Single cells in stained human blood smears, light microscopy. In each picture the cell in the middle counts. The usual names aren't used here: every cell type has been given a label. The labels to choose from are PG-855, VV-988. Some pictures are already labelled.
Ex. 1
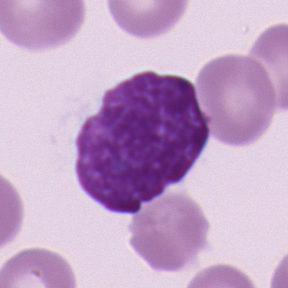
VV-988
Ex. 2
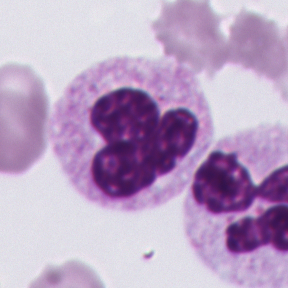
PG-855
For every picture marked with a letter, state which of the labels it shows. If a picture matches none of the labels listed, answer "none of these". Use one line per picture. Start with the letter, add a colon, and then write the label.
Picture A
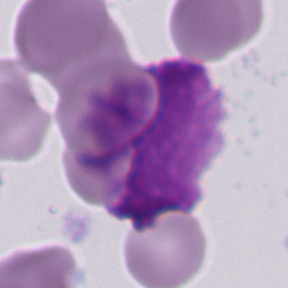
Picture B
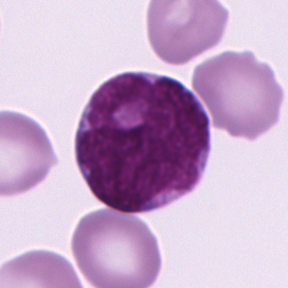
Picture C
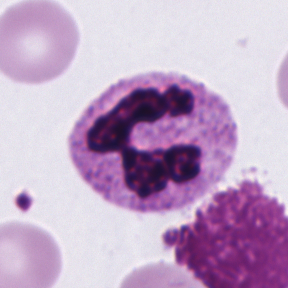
A: VV-988
B: none of these
C: PG-855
